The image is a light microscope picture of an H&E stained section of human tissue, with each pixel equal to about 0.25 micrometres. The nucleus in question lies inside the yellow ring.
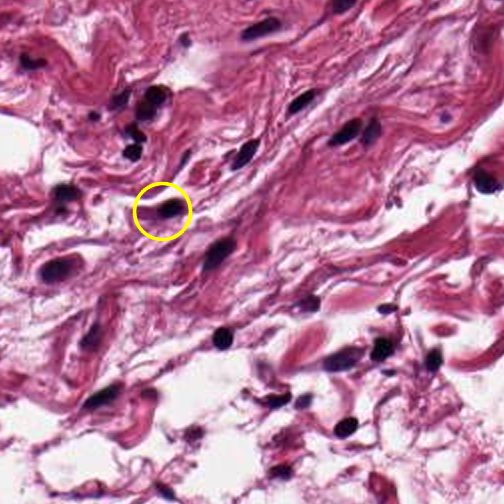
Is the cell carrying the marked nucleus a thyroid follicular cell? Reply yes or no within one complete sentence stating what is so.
No, the marked nucleus is not housed in a thyroid follicular cell but in a supporting cell.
